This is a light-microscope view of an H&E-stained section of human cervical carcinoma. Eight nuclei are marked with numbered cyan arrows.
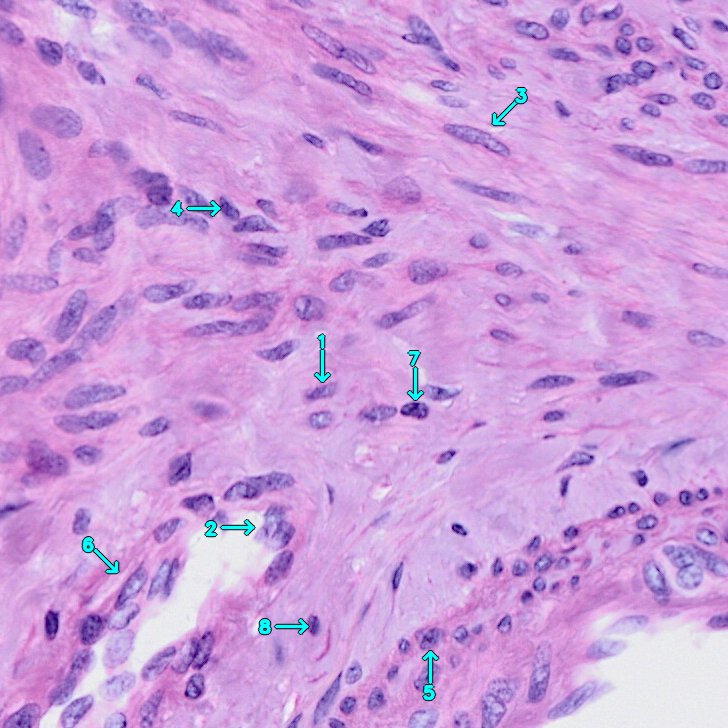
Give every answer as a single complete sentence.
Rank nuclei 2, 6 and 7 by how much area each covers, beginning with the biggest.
Largest first, the order by area is 2, 6, 7.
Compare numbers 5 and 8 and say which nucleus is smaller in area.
The smaller nucleus is 8, and 5 covers roughly 2.5 times its area.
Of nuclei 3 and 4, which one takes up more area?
Nucleus 3 covers more area, about 4 times as much as nucleus 4.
